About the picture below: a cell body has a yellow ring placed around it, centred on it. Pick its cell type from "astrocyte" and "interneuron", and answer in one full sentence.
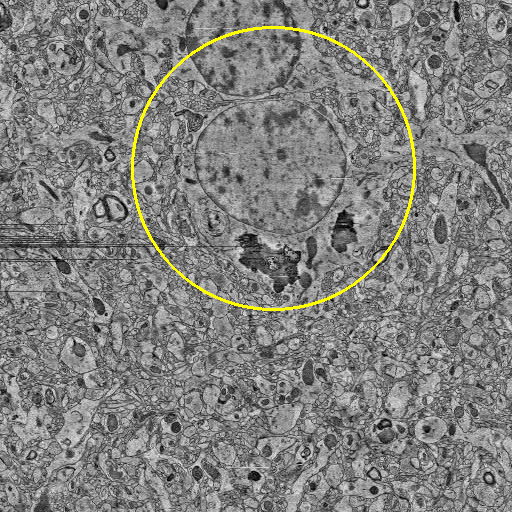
In the picture, an astrocyte is the cell sitting at the centre of the yellow ring.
